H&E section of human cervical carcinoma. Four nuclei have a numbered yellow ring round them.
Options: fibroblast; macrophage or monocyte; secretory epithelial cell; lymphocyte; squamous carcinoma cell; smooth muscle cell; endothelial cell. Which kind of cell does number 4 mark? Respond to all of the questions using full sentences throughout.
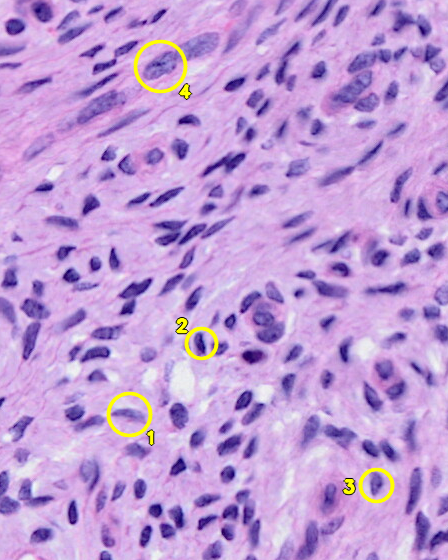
In this section, the cell tagged 4 is an endothelial cell.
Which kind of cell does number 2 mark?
The cell indicated by marker 2 is a fibroblast in this section.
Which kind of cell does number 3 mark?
In the marked set, the cell given number 3 is a fibroblast.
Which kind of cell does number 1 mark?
Among the marked nuclei, number 1 belongs to a fibroblast.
